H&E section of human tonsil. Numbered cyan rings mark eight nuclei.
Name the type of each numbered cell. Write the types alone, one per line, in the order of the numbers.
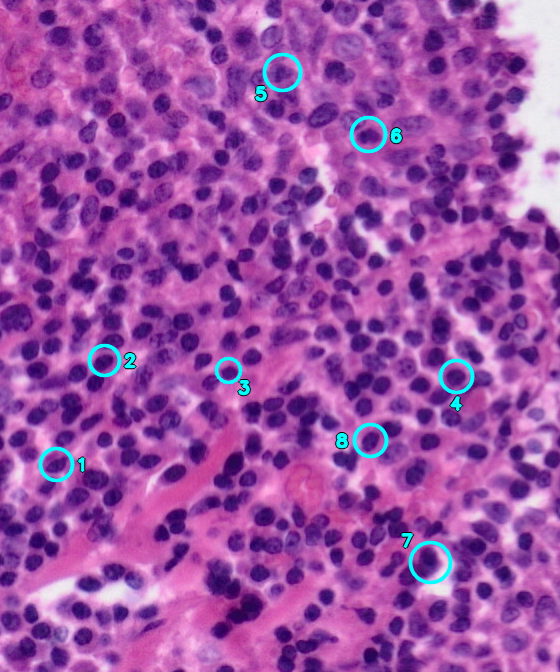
plasma cell
plasma cell
plasma cell
plasma cell
squamous epithelial cell
squamous epithelial cell
squamous epithelial cell
plasma cell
